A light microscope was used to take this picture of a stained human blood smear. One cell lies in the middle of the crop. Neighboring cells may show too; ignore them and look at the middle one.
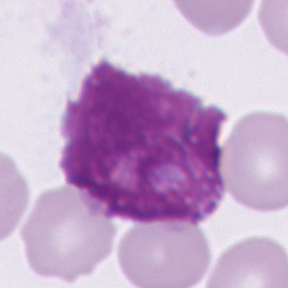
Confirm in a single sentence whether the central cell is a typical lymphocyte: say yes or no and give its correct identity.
No, what is centred in the crop is not a typical lymphocyte but a smudge cell.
